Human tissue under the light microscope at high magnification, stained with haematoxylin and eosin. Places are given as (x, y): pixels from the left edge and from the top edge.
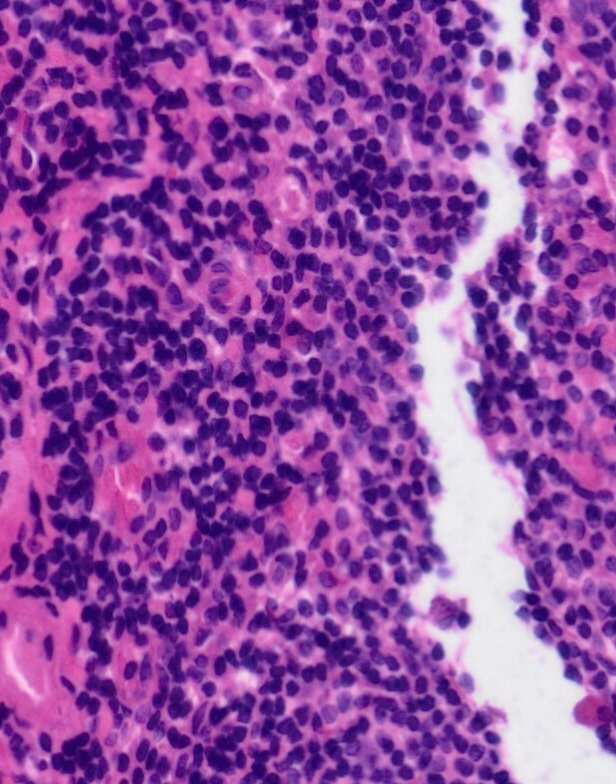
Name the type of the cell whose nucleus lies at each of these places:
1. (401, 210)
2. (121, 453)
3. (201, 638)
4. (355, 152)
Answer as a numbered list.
1. small lymphocyte
2. endothelial cell
3. endothelial cell
4. small lymphocyte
